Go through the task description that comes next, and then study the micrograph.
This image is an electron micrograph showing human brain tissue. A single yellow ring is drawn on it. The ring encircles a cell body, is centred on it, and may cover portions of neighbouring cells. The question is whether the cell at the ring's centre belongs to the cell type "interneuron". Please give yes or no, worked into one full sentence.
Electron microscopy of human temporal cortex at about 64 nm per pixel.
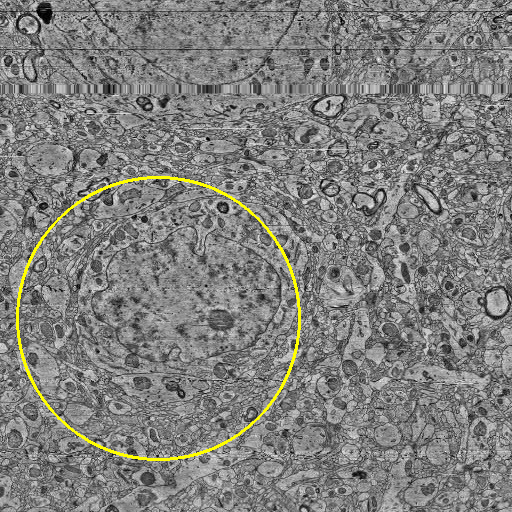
Yes, the cell that the ring is centred on in the micrograph is of this kind.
